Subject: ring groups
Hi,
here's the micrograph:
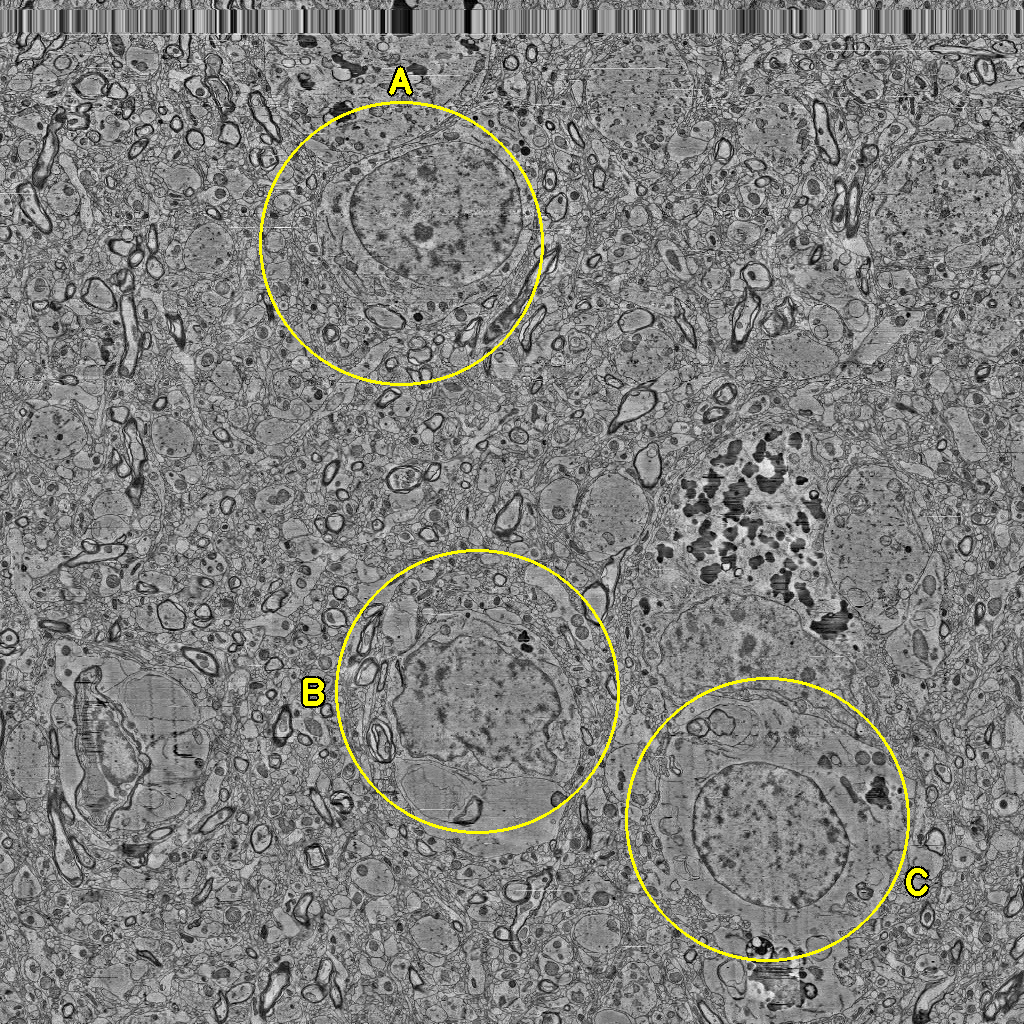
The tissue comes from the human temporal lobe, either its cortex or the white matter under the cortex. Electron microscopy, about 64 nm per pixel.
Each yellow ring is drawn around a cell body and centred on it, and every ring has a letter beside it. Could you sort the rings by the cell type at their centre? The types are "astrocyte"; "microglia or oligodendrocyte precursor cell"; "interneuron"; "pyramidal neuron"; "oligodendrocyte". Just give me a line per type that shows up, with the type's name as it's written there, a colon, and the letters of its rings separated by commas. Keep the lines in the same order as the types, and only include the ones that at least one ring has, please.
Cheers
astrocyte: C
interneuron: A, B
